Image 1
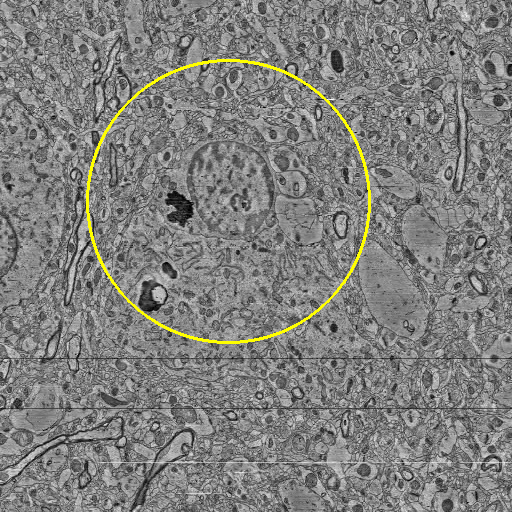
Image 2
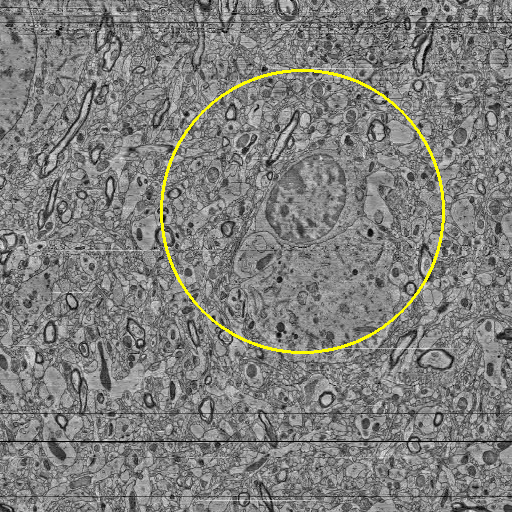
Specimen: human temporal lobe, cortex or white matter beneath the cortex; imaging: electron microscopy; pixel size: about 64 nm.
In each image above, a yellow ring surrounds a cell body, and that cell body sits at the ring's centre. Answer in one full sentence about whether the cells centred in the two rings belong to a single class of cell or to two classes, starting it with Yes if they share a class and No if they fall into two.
Yes, the cells centred in the two yellow rings belong to a single class of cell.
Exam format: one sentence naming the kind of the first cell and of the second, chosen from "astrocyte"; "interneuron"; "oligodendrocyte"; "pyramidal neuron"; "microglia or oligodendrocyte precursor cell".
In the first picture and in the second, the ring is centred on an oligodendrocyte.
